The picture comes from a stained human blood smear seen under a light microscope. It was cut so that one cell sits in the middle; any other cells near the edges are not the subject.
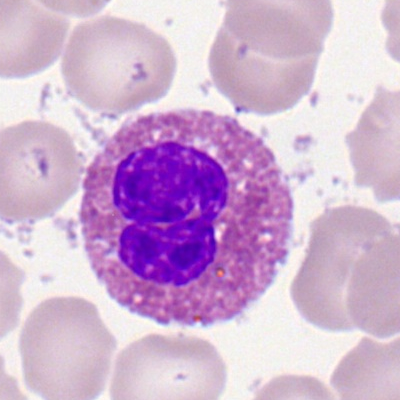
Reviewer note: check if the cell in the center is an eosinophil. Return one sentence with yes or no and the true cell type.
Yes, the cell at the centre of this crop is identified as an eosinophil.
